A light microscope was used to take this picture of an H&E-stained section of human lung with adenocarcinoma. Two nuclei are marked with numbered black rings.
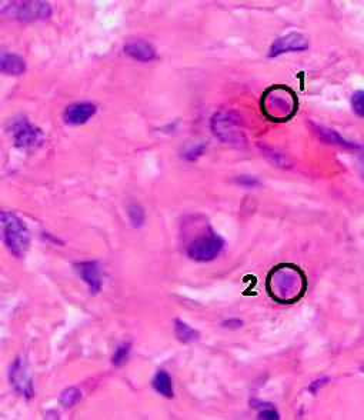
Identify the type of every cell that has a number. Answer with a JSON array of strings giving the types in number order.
["endothelial cell", "smooth muscle cell or pericyte"]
